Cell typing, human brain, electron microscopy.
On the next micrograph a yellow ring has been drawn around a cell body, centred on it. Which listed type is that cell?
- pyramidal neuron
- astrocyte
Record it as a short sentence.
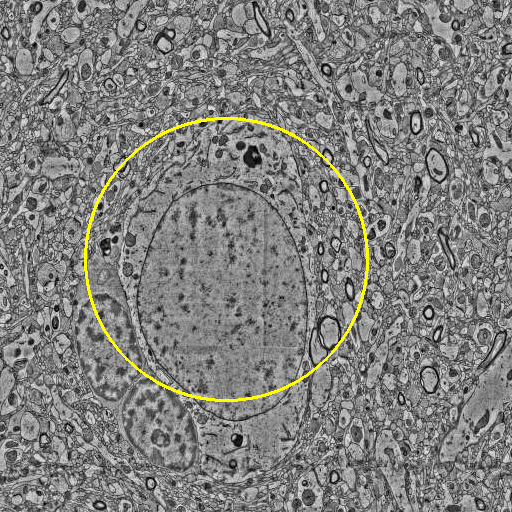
The cell body in the ring's centre belongs to a pyramidal neuron.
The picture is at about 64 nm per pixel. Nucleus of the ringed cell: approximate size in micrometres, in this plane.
Approximately 15 by 11 micrometers in this plane.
